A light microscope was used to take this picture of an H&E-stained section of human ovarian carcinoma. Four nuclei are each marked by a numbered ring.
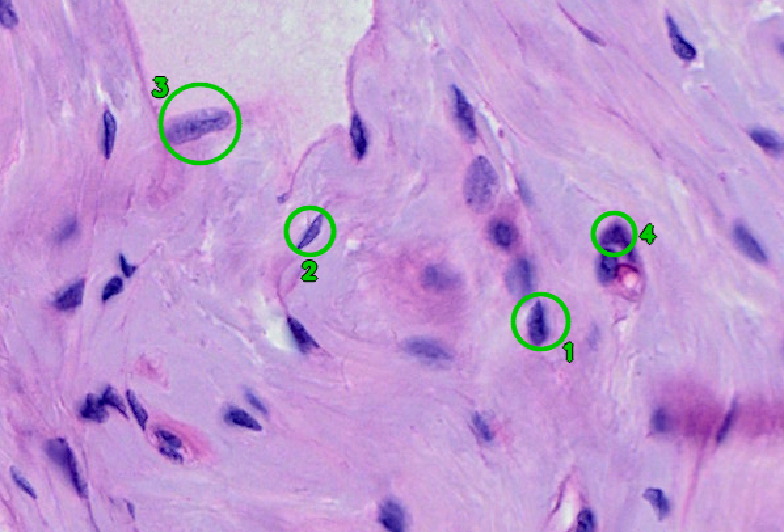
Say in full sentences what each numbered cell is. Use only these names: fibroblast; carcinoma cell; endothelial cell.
Cell 1 is a fibroblast, cell 2 is a fibroblast, cell 3 is an endothelial cell and cell 4 is an endothelial cell.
